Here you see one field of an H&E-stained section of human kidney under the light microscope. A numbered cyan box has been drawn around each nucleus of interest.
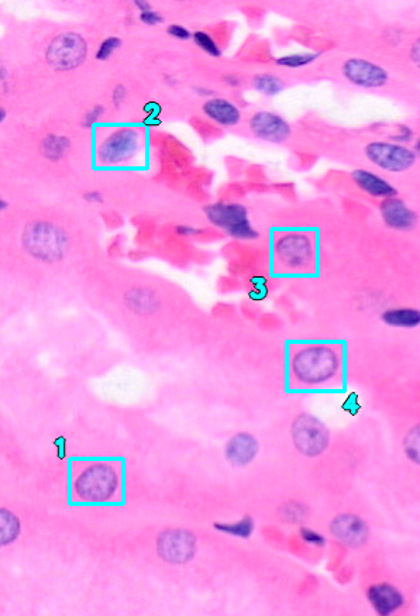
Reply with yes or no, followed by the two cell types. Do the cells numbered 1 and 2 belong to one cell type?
No, cell 1 is a proximal tubule cell, but cell 2 is an endothelial cell.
